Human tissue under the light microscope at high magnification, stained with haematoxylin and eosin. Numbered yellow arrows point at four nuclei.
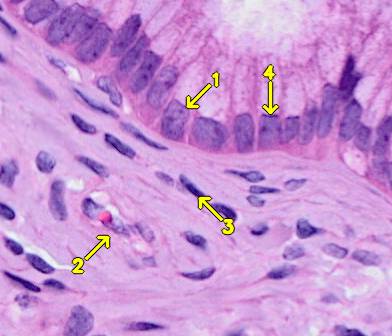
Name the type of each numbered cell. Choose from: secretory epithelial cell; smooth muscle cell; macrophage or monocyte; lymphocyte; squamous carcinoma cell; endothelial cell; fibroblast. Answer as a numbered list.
1. secretory epithelial cell
2. endothelial cell
3. fibroblast
4. secretory epithelial cell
